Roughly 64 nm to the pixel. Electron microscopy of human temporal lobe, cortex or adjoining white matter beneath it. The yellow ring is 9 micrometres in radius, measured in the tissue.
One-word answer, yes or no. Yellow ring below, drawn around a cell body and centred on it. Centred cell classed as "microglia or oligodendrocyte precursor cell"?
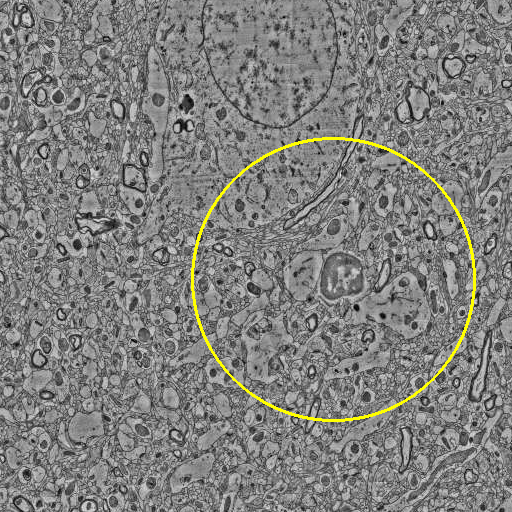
yes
